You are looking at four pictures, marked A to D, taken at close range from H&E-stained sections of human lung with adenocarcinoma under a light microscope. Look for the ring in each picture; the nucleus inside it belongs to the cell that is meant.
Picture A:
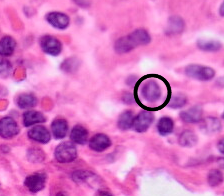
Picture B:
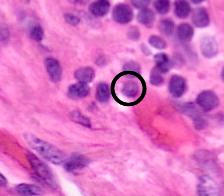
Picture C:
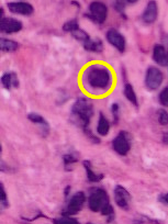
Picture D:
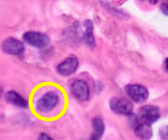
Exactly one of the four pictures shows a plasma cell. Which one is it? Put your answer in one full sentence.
It is picture C that shows the plasma cell.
